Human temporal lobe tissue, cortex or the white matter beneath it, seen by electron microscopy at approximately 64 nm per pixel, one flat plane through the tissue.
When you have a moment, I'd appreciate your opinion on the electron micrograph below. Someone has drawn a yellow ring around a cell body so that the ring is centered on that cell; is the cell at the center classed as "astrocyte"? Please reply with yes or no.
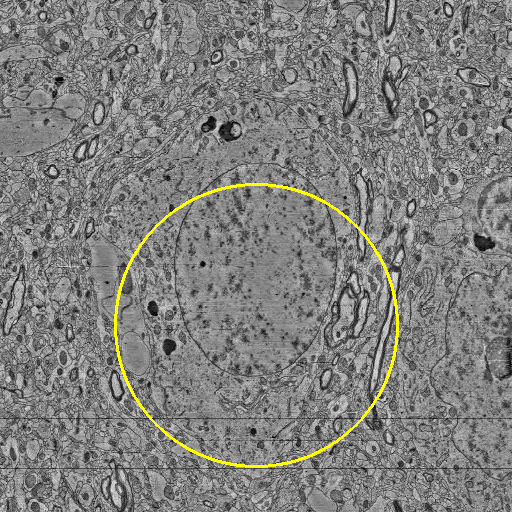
No, that cell belongs to another kind.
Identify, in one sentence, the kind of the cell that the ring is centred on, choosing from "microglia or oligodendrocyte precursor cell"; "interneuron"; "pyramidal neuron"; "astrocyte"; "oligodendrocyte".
Instead, the ring in this picture marks a pyramidal neuron.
